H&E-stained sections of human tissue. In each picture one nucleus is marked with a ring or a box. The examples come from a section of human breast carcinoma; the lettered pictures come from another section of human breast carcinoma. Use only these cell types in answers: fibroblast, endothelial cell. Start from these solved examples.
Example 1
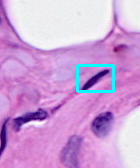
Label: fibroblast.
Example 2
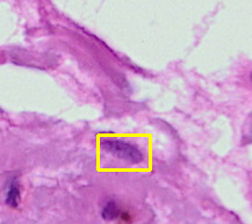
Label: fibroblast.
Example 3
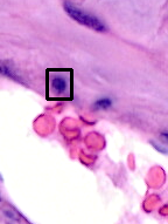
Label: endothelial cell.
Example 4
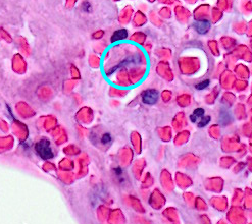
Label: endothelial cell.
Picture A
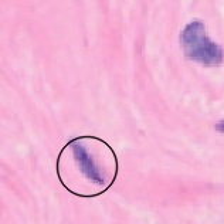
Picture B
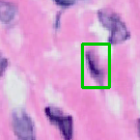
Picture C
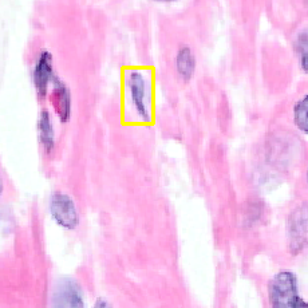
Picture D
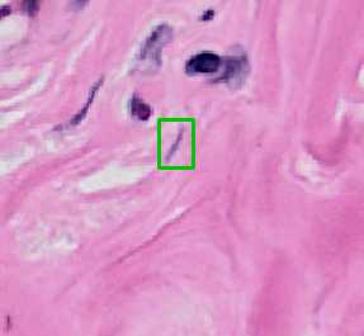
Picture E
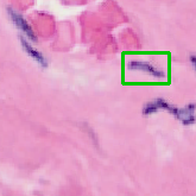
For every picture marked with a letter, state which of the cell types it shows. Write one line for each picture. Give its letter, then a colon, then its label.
A: fibroblast.
B: fibroblast.
C: fibroblast.
D: fibroblast.
E: endothelial cell.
